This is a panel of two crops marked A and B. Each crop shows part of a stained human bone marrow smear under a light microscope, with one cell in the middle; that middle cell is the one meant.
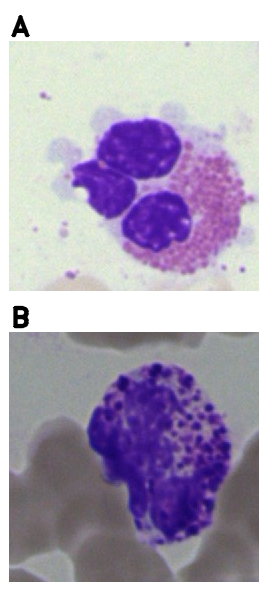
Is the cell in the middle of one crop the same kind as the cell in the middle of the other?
yes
